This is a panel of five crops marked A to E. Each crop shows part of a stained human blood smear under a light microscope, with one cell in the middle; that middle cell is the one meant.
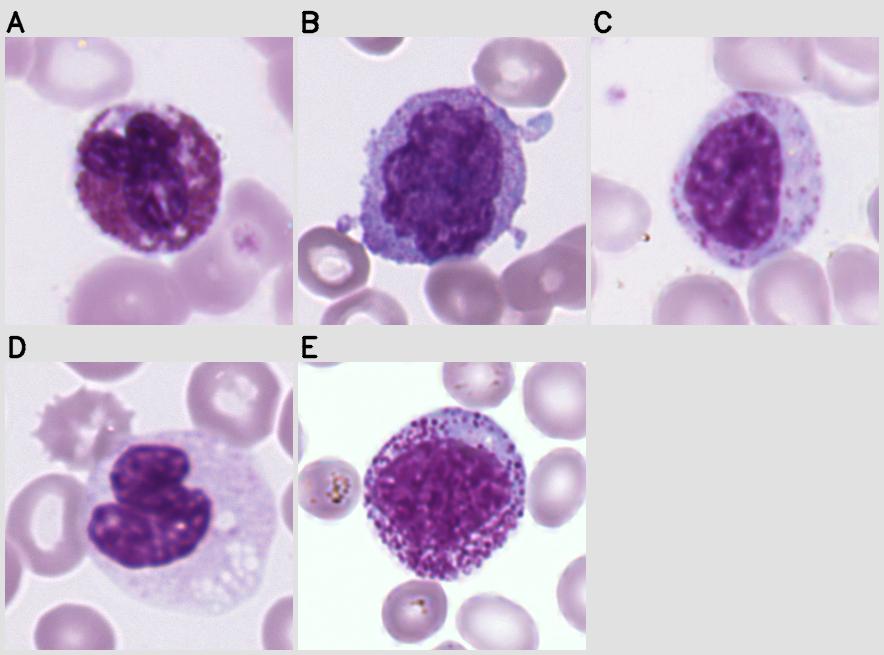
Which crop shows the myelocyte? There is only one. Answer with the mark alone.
E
